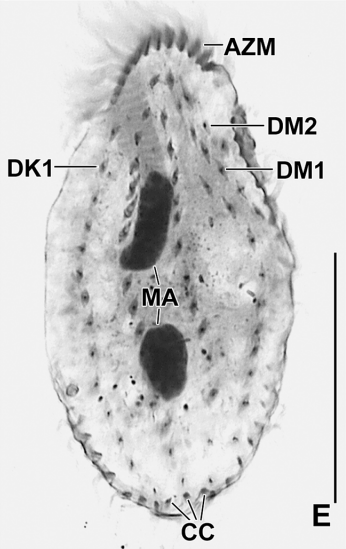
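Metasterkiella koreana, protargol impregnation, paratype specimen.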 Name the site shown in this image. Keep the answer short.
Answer: Dorsal surface.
